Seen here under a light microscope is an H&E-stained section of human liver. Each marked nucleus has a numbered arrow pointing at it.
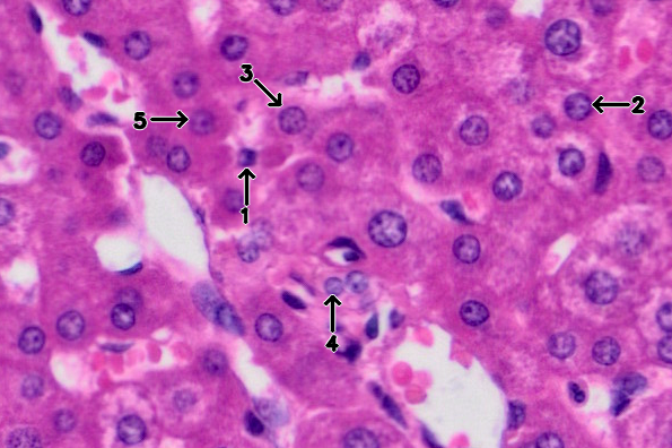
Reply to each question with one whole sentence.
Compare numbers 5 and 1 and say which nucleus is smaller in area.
Nucleus 1 covers less area, with nucleus 5 about 2 times as large.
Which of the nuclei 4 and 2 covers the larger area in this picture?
Nucleus 2 is larger, with an area about 2.5 times that of nucleus 4.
